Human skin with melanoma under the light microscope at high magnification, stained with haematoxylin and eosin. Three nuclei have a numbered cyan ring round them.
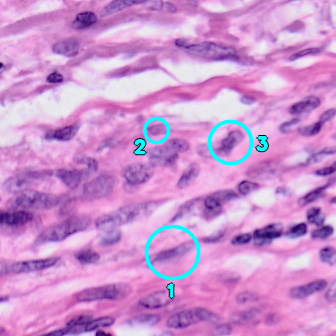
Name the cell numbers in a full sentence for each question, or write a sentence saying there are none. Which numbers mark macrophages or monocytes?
As for the numbered cells, only cell 3 is a macrophage or monocyte.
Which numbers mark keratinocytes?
The cells whose nuclei carry numbers are not keratinocytes.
